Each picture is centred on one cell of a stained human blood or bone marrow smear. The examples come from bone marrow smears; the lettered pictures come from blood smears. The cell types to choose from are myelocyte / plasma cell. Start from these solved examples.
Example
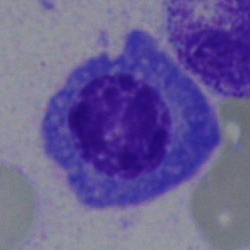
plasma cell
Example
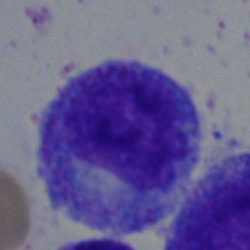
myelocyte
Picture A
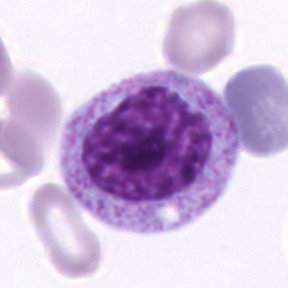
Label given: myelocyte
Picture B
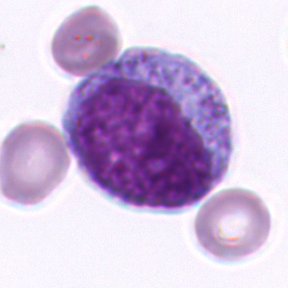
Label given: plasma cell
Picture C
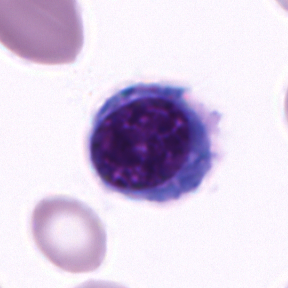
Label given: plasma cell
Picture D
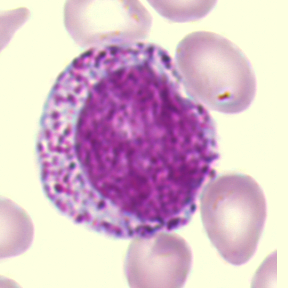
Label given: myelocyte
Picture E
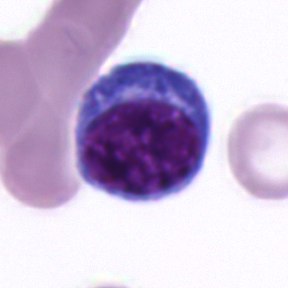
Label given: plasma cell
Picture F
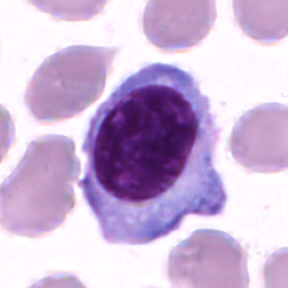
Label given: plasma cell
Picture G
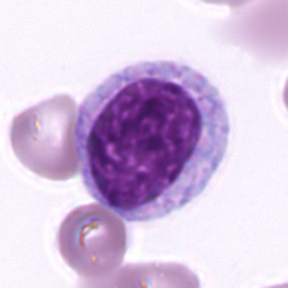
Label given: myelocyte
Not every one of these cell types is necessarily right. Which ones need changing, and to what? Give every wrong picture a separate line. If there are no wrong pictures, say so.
Wrong: B (plasma cell); correct: myelocyte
